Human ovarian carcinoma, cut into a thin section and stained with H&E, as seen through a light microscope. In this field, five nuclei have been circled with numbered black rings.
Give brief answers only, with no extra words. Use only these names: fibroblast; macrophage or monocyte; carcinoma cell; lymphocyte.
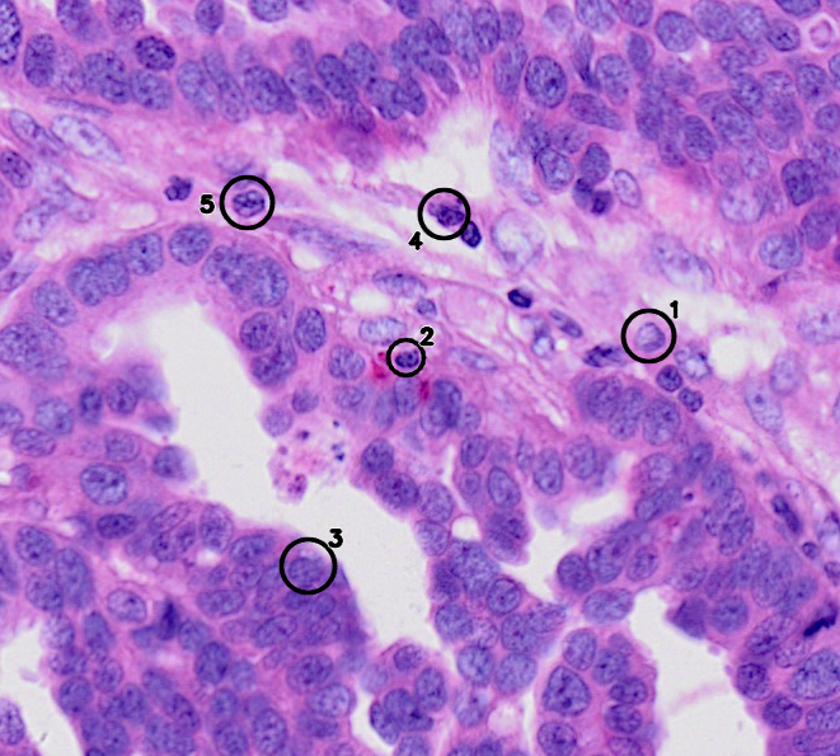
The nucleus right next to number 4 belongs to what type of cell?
lymphocyte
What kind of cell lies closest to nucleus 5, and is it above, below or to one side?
a fibroblast above nucleus 5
